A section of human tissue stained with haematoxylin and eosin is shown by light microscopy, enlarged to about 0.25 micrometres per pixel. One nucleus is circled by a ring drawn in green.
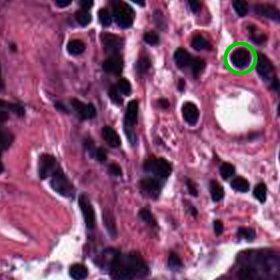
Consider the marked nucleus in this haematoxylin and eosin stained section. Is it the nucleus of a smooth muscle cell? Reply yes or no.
no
